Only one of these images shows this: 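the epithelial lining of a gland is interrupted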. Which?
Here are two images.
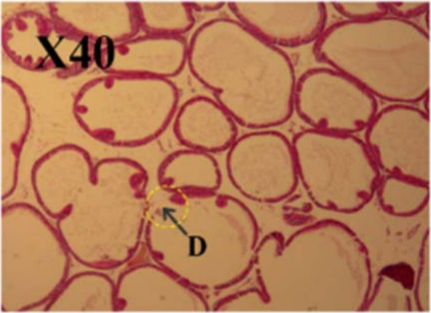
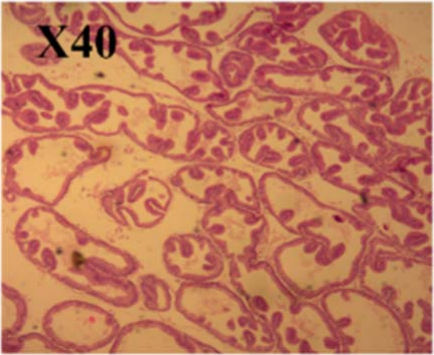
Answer: The first image.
